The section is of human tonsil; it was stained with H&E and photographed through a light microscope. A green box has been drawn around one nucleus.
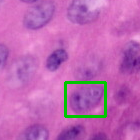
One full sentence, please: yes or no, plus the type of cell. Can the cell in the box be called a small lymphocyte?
No, the right answer is that the cell in the box is a squamous epithelial cell, not a small lymphocyte.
